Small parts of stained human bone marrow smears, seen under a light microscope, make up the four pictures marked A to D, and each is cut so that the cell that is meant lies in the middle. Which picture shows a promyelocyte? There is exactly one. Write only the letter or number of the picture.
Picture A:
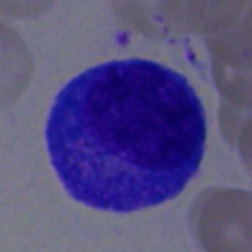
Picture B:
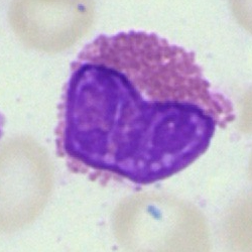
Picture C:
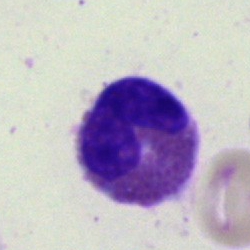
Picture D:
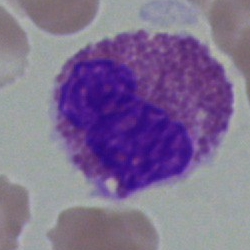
A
